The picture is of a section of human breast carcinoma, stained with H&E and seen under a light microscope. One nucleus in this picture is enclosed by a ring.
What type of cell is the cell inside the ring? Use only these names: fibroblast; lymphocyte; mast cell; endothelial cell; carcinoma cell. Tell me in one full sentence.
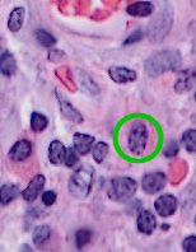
Histopathologically, the cell inside the ring is a mast cell.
